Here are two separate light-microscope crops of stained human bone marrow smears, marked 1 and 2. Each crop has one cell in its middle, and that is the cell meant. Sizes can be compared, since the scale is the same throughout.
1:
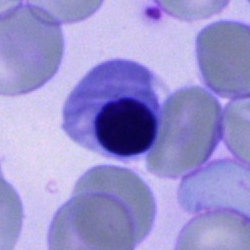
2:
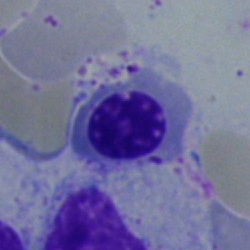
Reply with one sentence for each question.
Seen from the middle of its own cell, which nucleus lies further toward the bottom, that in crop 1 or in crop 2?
The nucleus in crop 1 lies further toward the bottom of its cell.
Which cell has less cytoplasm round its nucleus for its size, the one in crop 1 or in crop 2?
It is the cell in crop 2 that is filled more by its nucleus.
